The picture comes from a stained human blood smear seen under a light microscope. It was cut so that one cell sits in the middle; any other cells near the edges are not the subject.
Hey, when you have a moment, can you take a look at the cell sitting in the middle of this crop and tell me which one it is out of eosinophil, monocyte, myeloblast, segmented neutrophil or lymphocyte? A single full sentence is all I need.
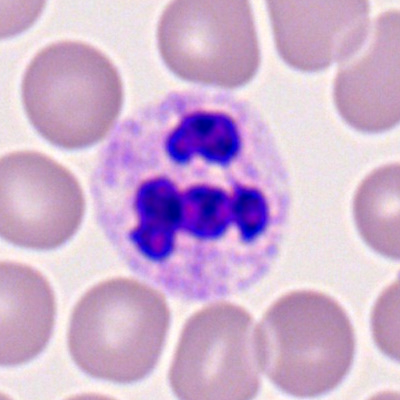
The middle cell in this particular crop is a segmented neutrophil.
